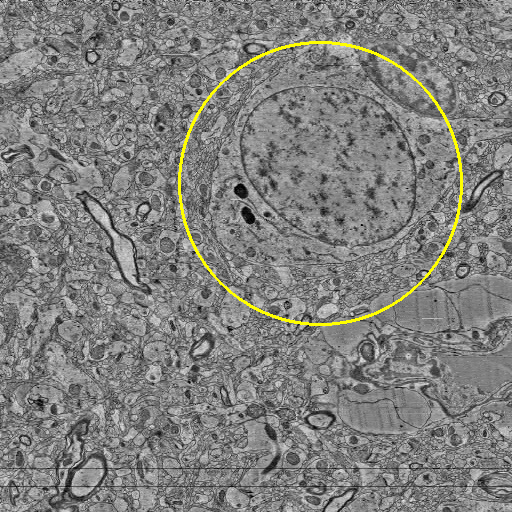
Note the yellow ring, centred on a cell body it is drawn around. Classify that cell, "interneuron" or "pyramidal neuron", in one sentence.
The cell the ring is centred on is a pyramidal neuron.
